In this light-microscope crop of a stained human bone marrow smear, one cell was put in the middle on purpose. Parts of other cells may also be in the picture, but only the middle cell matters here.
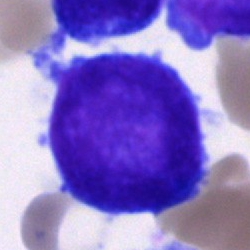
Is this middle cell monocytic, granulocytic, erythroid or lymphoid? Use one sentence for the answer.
The cell in the middle of the frame falls under the erythroid lineage.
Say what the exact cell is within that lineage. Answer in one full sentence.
In short, the cell at the center is a proerythroblast.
